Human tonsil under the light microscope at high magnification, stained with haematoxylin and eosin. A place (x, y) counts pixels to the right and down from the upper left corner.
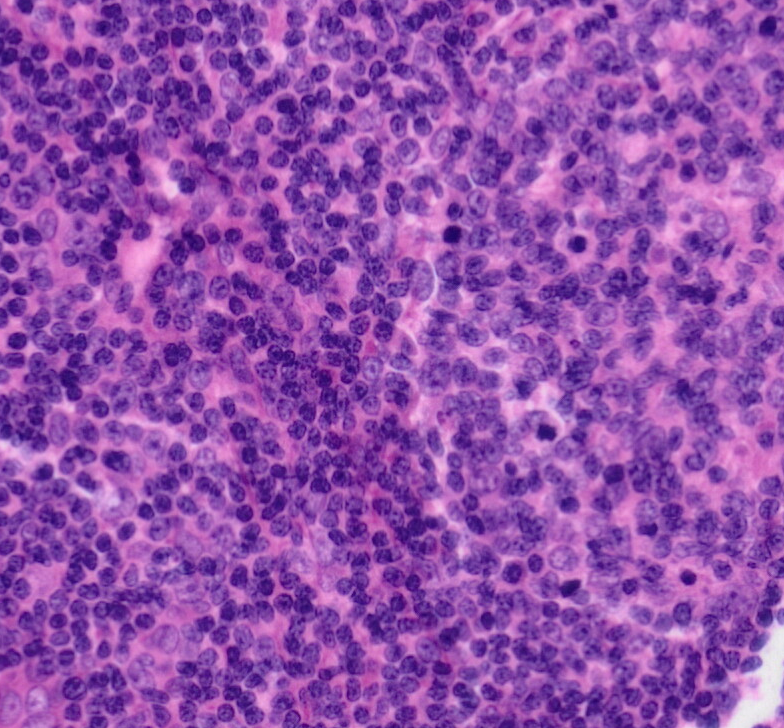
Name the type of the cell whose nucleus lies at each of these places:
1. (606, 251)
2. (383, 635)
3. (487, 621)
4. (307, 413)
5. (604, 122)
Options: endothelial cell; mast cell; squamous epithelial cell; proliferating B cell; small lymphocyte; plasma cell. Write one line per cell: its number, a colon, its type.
1: proliferating B cell
2: small lymphocyte
3: small lymphocyte
4: small lymphocyte
5: proliferating B cell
